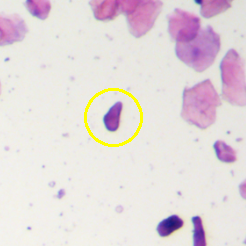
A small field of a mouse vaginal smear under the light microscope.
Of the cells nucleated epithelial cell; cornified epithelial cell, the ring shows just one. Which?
The ring shows a nucleated epithelial cell.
